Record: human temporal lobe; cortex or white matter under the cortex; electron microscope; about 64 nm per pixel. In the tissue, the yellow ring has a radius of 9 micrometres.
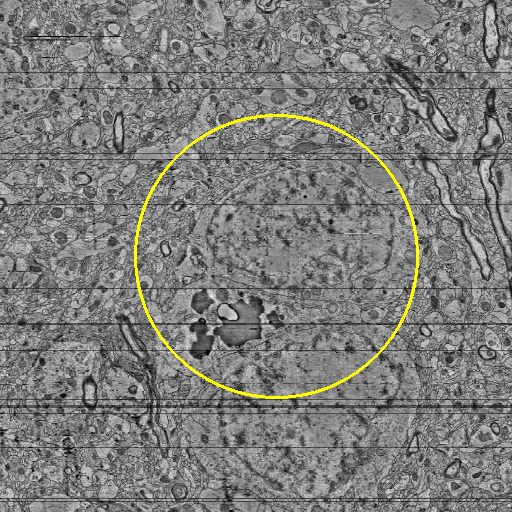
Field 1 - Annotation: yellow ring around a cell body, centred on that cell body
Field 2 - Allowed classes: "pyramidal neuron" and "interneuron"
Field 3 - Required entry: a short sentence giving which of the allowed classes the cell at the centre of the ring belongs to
The centred cell is an interneuron.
